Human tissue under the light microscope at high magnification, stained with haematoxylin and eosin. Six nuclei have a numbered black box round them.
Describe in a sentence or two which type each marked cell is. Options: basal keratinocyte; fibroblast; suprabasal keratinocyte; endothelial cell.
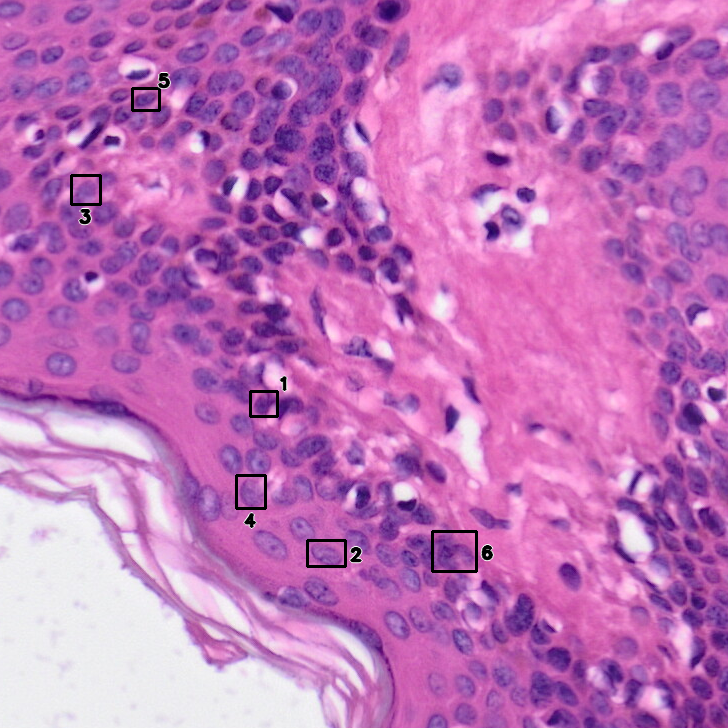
Cells 1, 3, 5 and 6 are basal keratinocytes. Cells 2 and 4 are suprabasal keratinocytes.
